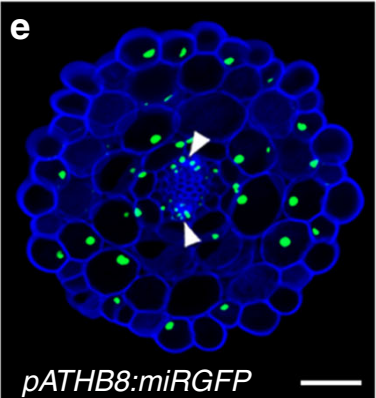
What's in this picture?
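Transverse section of a hypocotyl with an outer epidermis of small cells, rings of large rounded cortical cells and a central vascular cylinder of small cells. Cell outlines are blue; single green dots lie in many epidermal and cortical cells and in the central cylinder. Two arrowheads mark opposite poles of the vascular cylinder.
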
